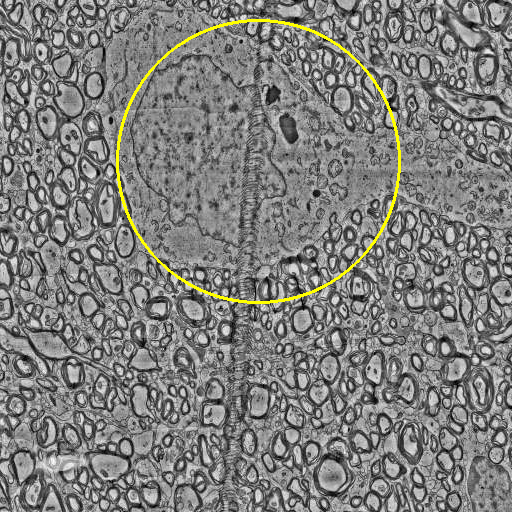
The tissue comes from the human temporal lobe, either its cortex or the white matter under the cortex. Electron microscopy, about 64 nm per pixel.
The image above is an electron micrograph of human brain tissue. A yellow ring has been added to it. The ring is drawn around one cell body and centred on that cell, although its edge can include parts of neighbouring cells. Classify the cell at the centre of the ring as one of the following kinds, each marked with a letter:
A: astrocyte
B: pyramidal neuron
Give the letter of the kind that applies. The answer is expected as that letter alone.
B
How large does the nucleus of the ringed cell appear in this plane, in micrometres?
In this plane the nucleus is about 12 micrometres by 9.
